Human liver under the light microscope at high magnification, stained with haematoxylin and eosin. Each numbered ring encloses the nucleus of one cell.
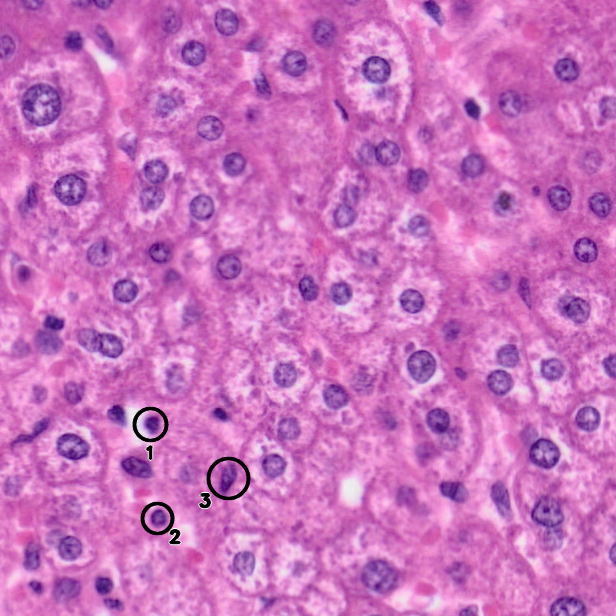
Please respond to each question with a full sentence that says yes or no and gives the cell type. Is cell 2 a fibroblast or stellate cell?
No, cell 2 has been misnamed; it is a lymphocyte, not a fibroblast or stellate cell.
